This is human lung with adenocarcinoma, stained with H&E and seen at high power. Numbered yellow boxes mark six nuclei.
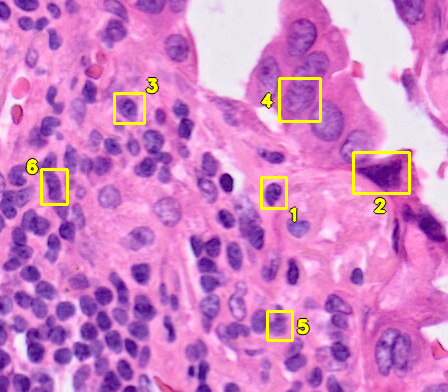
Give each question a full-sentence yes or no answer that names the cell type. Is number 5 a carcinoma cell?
No, cell 5 is not a carcinoma cell; a lymphocyte is the correct identification.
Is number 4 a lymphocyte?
No, number 4 belongs to a carcinoma cell, not to a lymphocyte.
